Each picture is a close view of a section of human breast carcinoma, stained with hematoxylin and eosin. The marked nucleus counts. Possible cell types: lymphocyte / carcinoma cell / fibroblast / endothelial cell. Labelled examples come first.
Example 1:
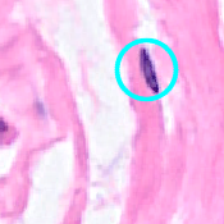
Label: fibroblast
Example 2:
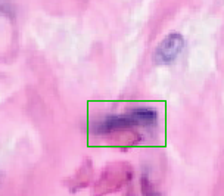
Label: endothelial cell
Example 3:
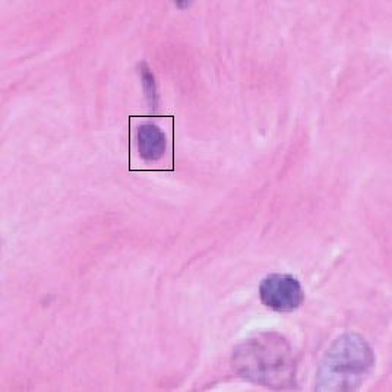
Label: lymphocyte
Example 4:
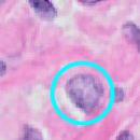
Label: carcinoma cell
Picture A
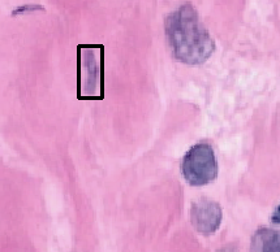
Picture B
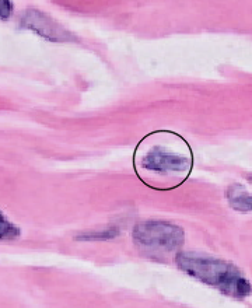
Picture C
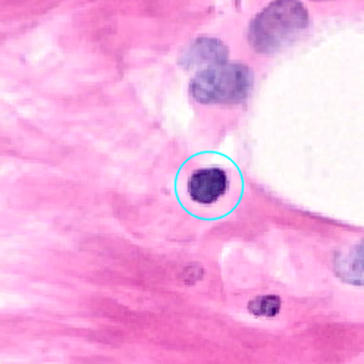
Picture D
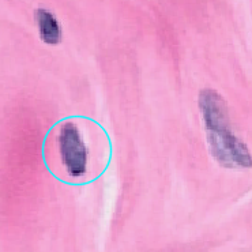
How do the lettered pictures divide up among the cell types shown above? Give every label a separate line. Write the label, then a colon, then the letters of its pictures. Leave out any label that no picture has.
lymphocyte: B, C, D
fibroblast: A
